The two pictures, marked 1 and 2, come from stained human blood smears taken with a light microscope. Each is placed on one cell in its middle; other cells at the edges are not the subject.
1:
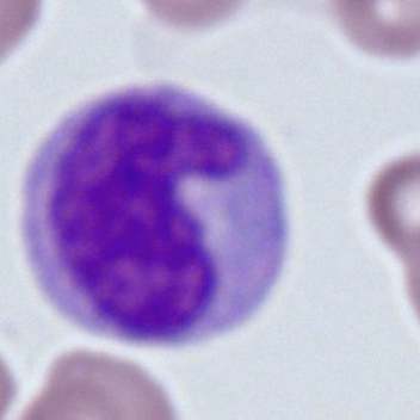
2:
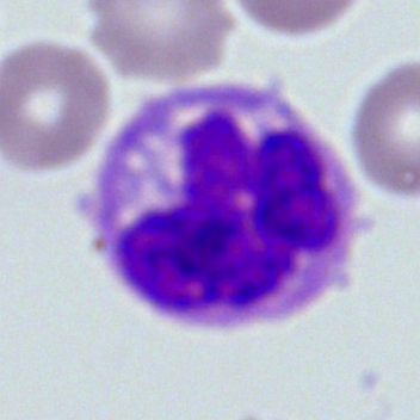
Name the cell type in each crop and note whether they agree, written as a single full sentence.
Yes, both crops show monocytes, each crop centred on one of them.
